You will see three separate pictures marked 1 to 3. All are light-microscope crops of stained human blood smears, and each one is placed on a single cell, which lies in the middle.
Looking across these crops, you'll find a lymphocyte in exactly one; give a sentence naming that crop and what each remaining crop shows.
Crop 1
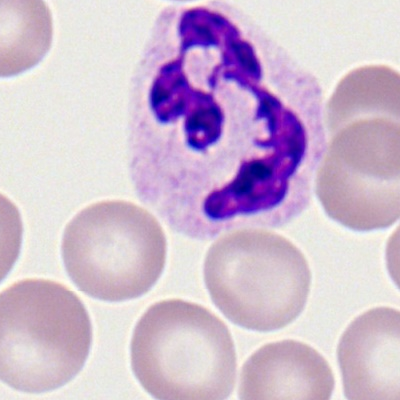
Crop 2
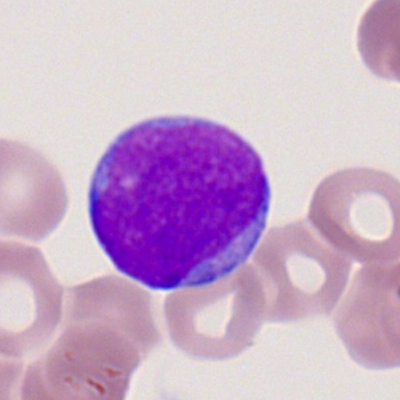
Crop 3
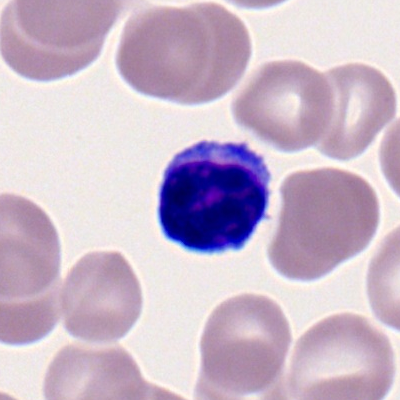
The middle cell of crop 3 is a lymphocyte, while crop 1 is a segmented neutrophil and crop 2 is a myeloblast.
